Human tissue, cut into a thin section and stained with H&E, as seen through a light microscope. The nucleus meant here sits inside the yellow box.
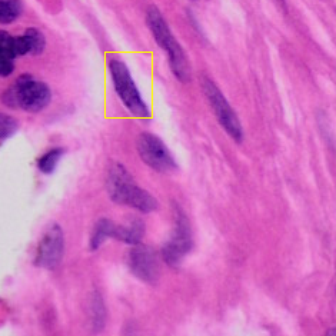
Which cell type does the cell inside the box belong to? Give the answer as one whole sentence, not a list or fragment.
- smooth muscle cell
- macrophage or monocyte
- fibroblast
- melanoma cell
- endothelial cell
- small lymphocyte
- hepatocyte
In this section, the cell inside the box is a fibroblast.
